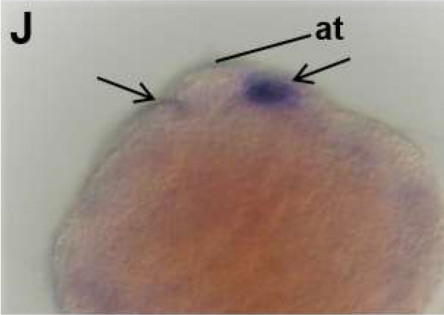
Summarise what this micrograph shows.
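The body is a rounded, pale orange-brown mass of tissue. At its top, a faint apical tuft of cilia projects from the surface. Right beside the base of the tuft lies a small, compact cluster of cells stained dark purple. A second, much fainter spot lies near the surface on the other side of the tuft. The rest of the larva shows no purple stain apart from a faint haze, so the staining is confined to a few cells at the apical pole.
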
